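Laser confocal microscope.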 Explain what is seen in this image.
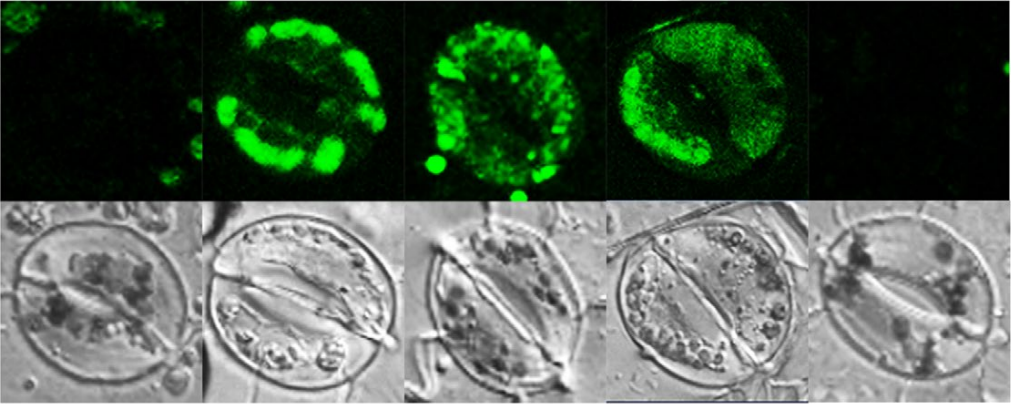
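These are single stomata from a leaf epidermis, each formed by two kidney-shaped guard cells lying face to face around a narrow slit-like pore. In the transmitted-light row the guard cells are packed with small round granules, likely chloroplasts, along their length. In the fluorescence row three of the stomata glow bright green across both guard cells, sometimes as discrete blobs along the cell rim and sometimes as a more diffuse fill, while the first and last stomata are almost dark.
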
